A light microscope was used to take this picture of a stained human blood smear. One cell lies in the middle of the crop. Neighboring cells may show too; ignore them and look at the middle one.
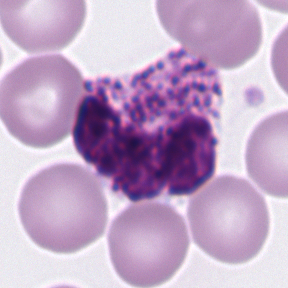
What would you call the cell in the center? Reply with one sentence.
To answer, the cell in the center of the crop is a basophil.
